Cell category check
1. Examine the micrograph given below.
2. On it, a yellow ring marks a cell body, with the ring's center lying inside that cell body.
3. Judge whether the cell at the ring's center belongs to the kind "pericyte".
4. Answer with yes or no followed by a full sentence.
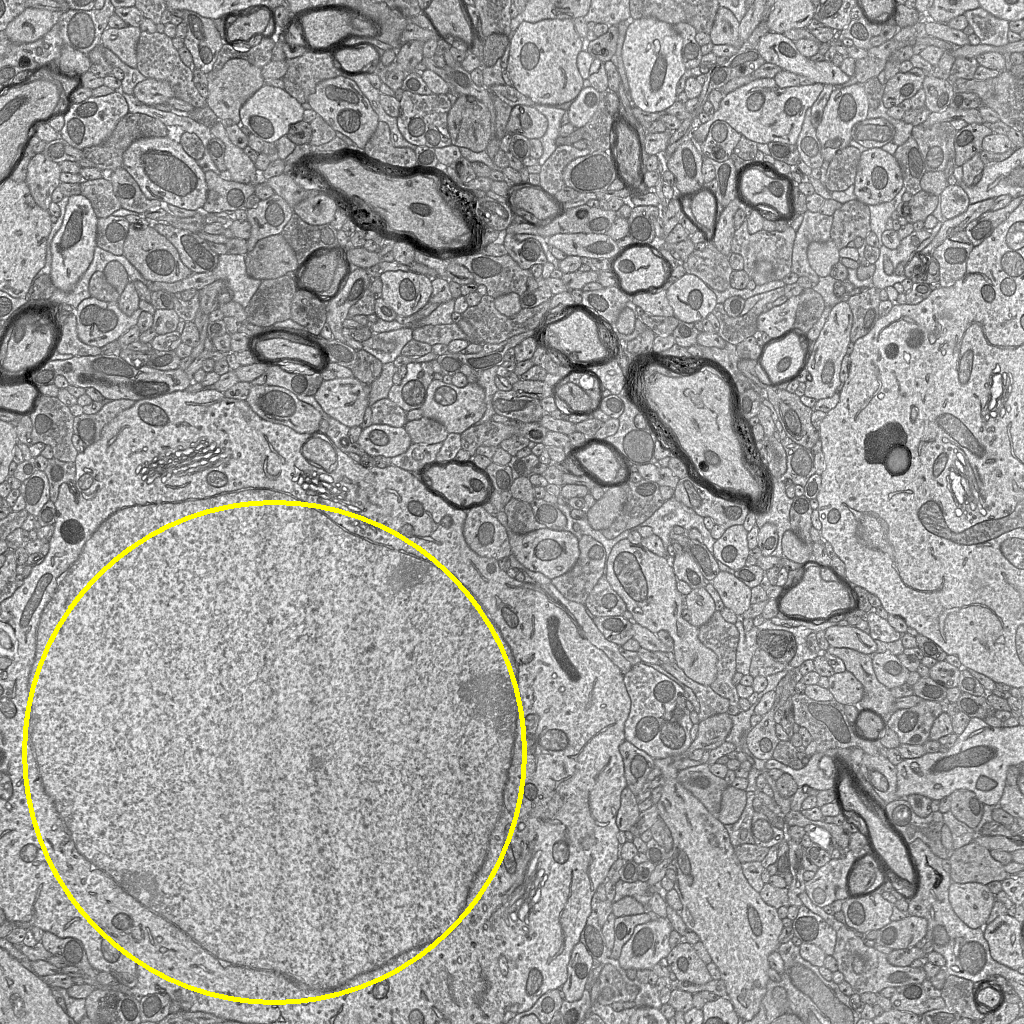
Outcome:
No, the cell found at the ring's center in the micrograph belongs to another kind.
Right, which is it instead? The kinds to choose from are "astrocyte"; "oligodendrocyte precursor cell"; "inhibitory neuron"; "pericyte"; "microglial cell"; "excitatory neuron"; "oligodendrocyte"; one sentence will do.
It is an excitatory neuron at the centre of the ring.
